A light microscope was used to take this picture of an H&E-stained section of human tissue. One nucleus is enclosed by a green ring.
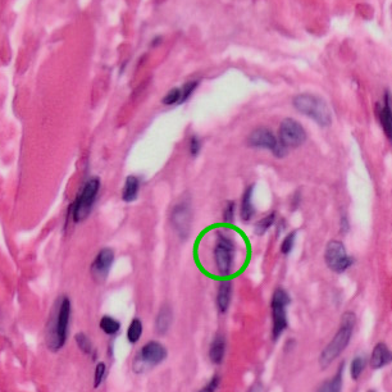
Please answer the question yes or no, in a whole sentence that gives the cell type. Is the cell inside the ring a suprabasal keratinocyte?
No, it is as an endothelial cell, not a suprabasal keratinocyte, that the cell inside the ring is classified.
